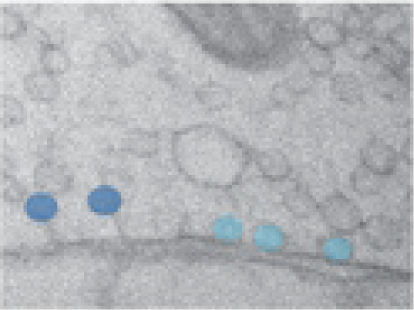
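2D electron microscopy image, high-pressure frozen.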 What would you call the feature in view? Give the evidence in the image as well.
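Many small clear round vesicles cluster near a dark membrane. The dark membrane runs across the lower part of the image, with vesicles gathered against it.
Active zone.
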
